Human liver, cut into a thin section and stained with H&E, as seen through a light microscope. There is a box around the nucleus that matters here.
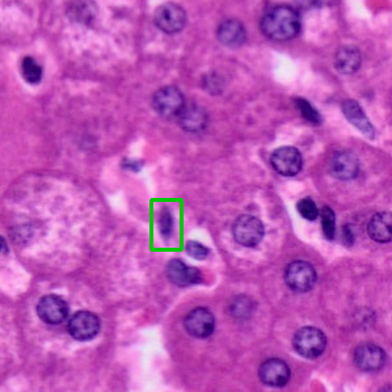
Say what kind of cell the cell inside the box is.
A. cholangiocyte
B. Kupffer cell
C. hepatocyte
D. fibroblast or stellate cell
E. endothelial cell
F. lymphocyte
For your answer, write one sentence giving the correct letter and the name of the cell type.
In keeping with option F, the cell inside the box is a lymphocyte.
